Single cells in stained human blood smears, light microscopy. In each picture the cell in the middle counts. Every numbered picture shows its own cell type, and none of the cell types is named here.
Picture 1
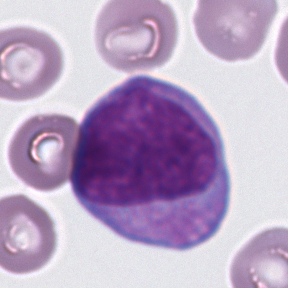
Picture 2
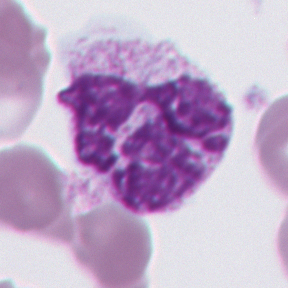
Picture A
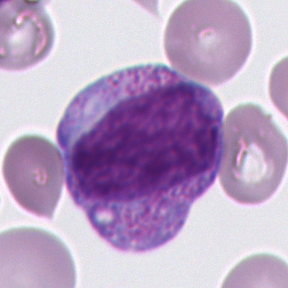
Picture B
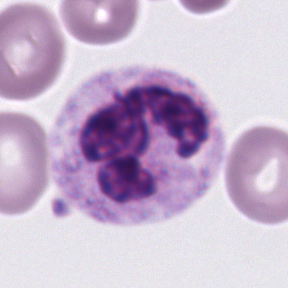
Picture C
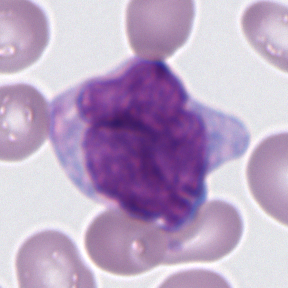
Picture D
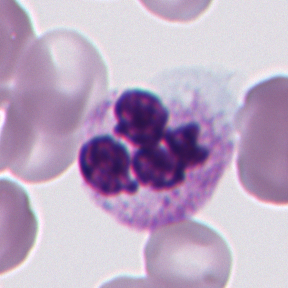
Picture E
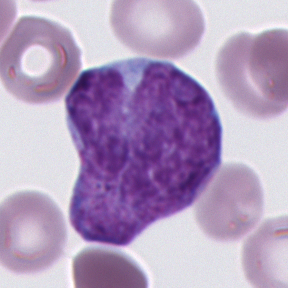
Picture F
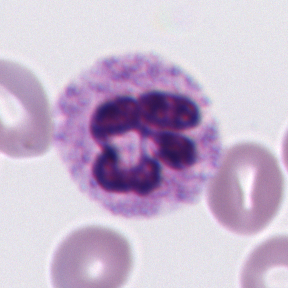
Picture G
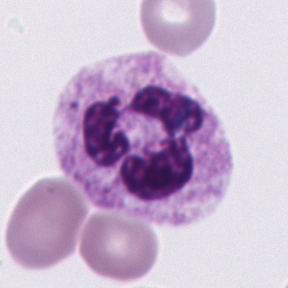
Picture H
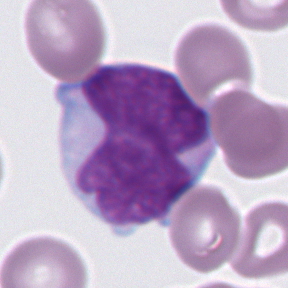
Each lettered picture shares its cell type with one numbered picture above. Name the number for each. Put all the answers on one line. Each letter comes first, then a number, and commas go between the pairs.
A 1, B 2, C 1, D 2, E 1, F 2, G 2, H 1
